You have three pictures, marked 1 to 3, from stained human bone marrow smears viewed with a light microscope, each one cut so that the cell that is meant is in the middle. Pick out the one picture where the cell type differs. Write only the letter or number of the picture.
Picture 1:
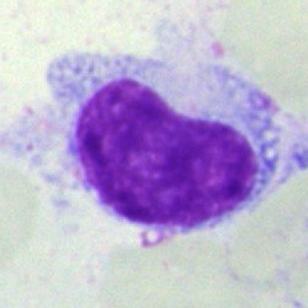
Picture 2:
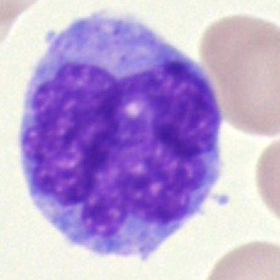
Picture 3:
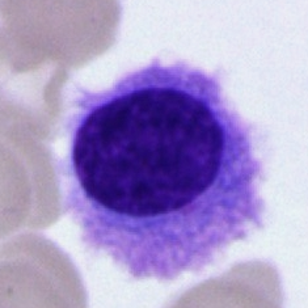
2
